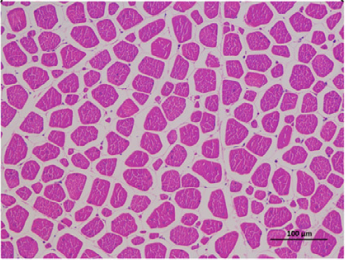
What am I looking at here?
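This is skeletal muscle cut in cross-section, showing many muscle fibers stained pink. The fibers are polygonal to rounded in outline and vary in size, with narrow pale gaps between neighbouring fibers. They are grouped into bundles that are separated by wider pale bands of connective tissue. Small dark purple nuclei lie at the edges of the fibers rather than in their centres. Fine pale cracks run through the pink cytoplasm of some fibers.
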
